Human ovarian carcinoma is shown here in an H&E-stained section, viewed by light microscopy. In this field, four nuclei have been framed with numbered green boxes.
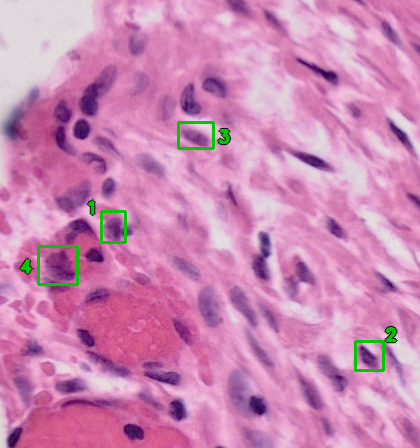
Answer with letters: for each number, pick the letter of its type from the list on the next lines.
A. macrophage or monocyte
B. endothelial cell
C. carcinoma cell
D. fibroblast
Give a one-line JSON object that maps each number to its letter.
{"1": "D", "2": "D", "3": "D", "4": "B"}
